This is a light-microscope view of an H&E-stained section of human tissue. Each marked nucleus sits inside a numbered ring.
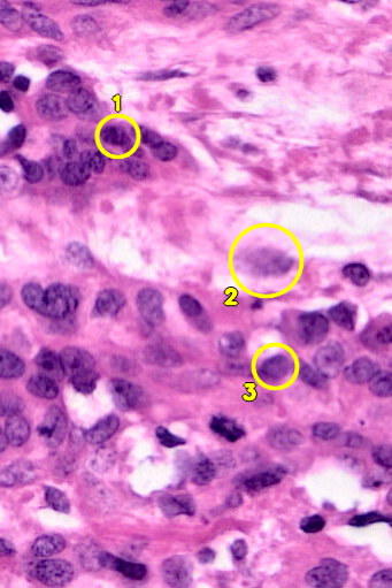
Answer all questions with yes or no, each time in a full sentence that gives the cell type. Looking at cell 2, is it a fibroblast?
Yes, the cell whose number is 2 is a fibroblast.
